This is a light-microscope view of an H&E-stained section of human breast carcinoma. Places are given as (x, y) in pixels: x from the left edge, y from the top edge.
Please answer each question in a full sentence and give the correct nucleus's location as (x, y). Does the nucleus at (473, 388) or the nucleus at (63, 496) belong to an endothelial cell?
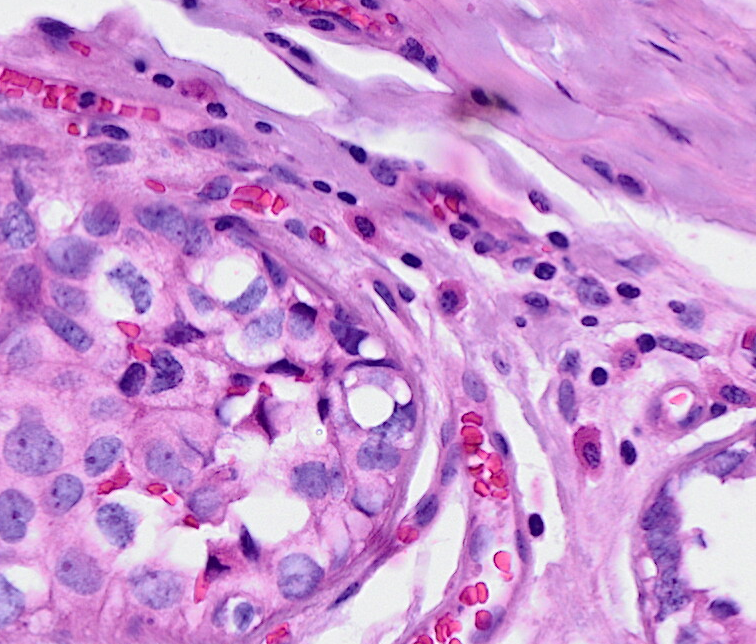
The pair contains one nucleus of an endothelial cell, namely the one at (473, 388).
